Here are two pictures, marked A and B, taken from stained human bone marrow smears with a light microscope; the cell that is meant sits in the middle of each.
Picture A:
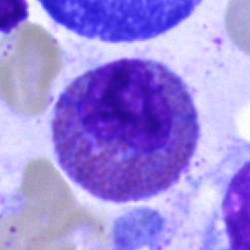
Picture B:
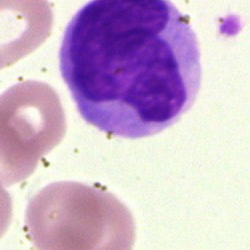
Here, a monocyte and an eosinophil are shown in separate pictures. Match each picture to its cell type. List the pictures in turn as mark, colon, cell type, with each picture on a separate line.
A: eosinophil
B: monocyte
